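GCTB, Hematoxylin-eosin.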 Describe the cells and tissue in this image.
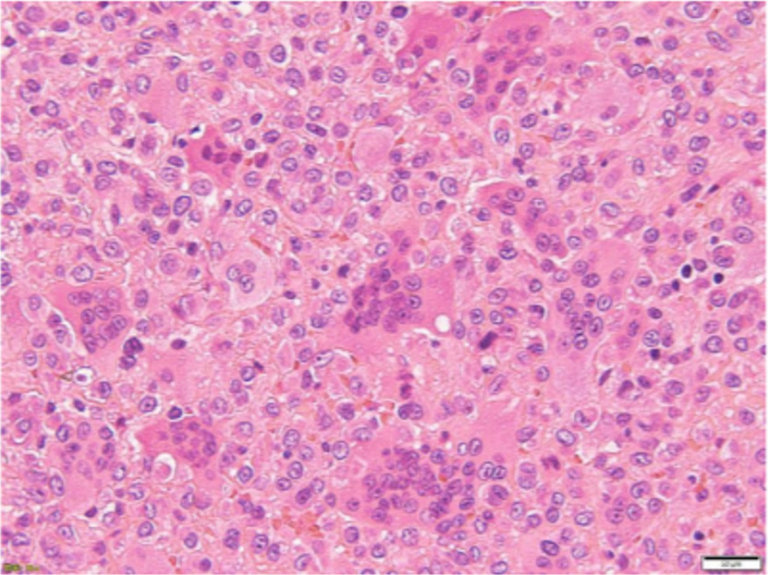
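This tumor tissue consists of sheets of mononuclear stromal cells among which many osteoclast-like giant cells are scattered. The stromal cells have round to oval nuclei with fine chromatin and small nucleoli and modest amounts of pale pink cytoplasm. The giant cells are large, with abundant pink cytoplasm and many nuclei gathered in clusters, and their nuclei resemble those of the surrounding stromal cells. A few small red blood cells lie between the cells.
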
